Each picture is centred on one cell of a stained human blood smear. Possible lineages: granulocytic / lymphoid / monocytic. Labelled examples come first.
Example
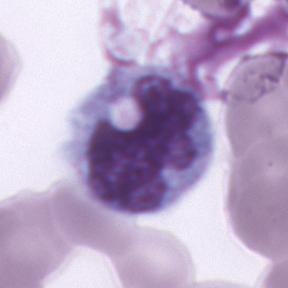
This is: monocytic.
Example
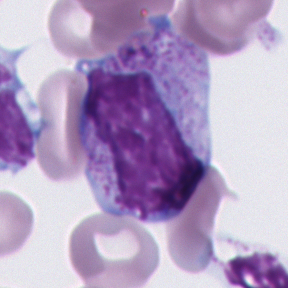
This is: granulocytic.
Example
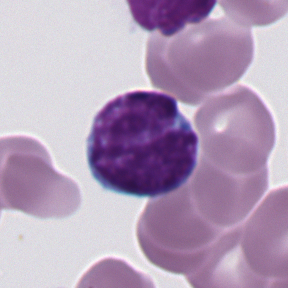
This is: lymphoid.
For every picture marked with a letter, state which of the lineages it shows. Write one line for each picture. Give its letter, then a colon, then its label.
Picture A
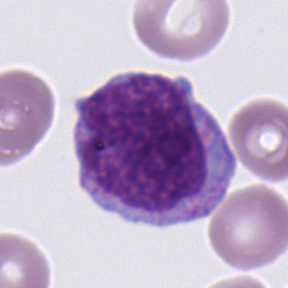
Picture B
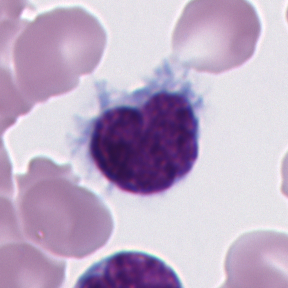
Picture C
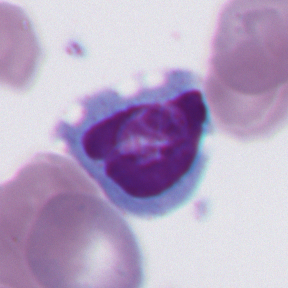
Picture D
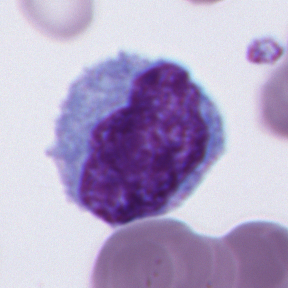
A: granulocytic.
B: lymphoid.
C: lymphoid.
D: monocytic.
